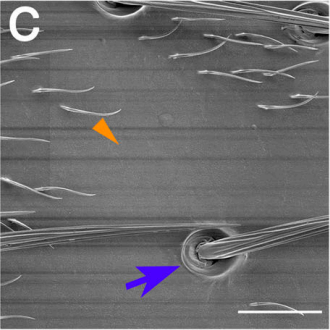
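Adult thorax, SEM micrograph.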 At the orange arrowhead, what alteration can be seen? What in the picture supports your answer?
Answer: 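Cuticular cellular hairs are missing. A region of smooth cuticle lacks the fine curved hairs present elsewhere.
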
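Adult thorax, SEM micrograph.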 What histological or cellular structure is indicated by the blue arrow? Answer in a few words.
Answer: sensory bristles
